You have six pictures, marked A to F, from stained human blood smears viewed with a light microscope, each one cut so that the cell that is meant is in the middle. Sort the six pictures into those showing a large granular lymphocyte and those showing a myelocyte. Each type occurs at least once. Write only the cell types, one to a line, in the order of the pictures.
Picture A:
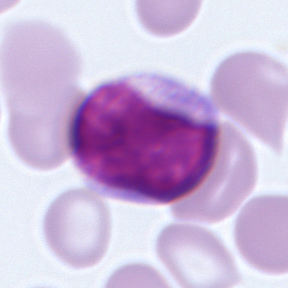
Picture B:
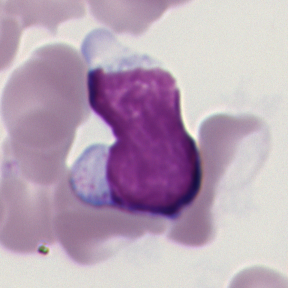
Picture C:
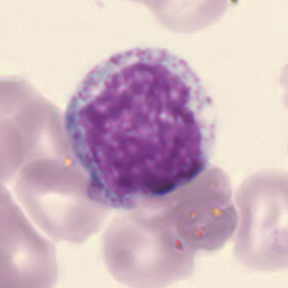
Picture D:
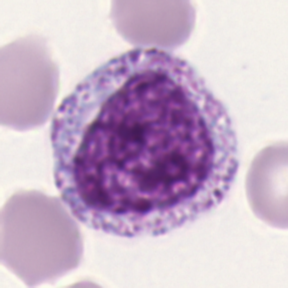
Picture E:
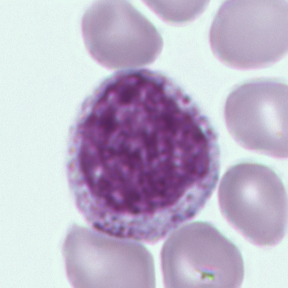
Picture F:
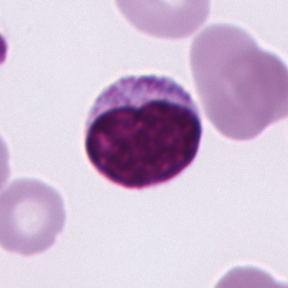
large granular lymphocyte
large granular lymphocyte
myelocyte
myelocyte
myelocyte
large granular lymphocyte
